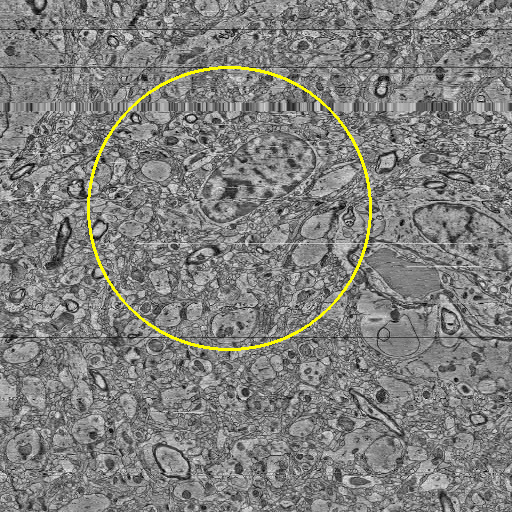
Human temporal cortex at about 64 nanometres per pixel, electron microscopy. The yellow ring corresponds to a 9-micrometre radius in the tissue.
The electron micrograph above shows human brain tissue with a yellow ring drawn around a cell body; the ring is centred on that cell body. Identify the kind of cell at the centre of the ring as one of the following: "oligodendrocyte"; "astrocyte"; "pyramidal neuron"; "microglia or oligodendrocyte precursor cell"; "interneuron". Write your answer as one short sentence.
The cell at the centre of the ring is a microglial cell or oligodendrocyte precursor cell.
